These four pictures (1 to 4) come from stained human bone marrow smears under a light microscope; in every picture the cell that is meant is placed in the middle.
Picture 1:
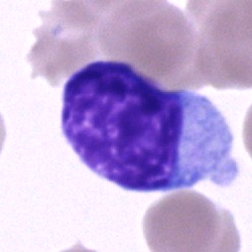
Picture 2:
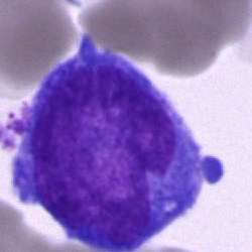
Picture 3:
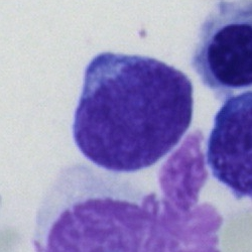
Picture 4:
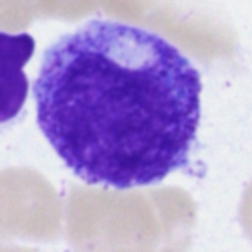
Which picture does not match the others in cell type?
4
